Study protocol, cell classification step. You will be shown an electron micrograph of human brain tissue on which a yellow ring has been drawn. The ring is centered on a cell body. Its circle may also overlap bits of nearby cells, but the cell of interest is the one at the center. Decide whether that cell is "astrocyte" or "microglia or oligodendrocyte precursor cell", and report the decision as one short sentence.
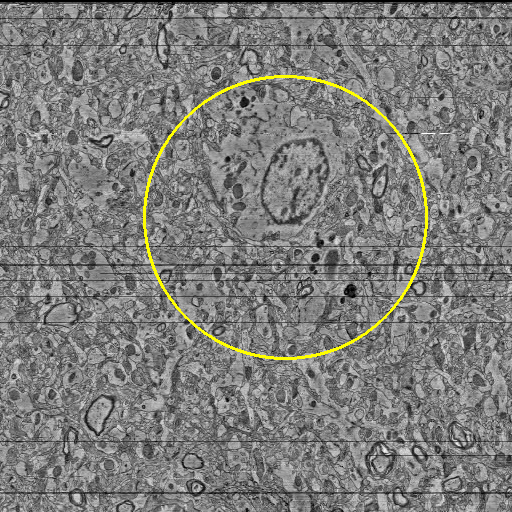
The marked cell is an astrocyte.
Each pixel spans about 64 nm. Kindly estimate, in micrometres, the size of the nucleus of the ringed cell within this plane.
Roughly 6 by 4 micrometres; in this plane, clearly longer than it is wide.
